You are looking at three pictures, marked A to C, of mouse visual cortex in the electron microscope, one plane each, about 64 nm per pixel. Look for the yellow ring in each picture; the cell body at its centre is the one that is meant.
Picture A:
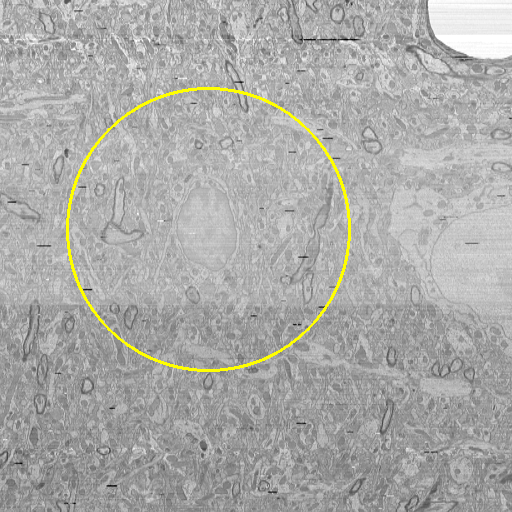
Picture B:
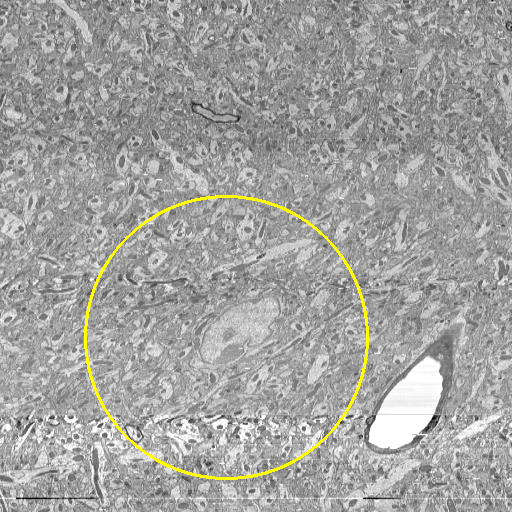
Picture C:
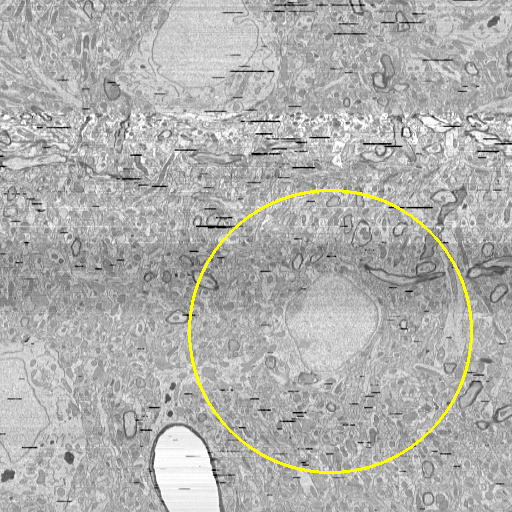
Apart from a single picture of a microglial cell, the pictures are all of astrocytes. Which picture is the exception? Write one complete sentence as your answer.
The microglial cell is the one in picture A.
